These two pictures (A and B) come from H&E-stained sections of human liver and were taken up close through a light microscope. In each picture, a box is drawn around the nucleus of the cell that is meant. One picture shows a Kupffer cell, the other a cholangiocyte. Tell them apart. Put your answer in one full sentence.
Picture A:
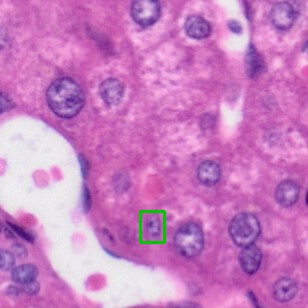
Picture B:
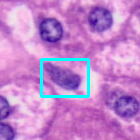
In picture A the cell is a cholangiocyte; in picture B, a Kupffer cell.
